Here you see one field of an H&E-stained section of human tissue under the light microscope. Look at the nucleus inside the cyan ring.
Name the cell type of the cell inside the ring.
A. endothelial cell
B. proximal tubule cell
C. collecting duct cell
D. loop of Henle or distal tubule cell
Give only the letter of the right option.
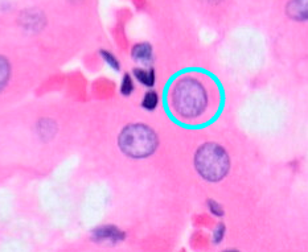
B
